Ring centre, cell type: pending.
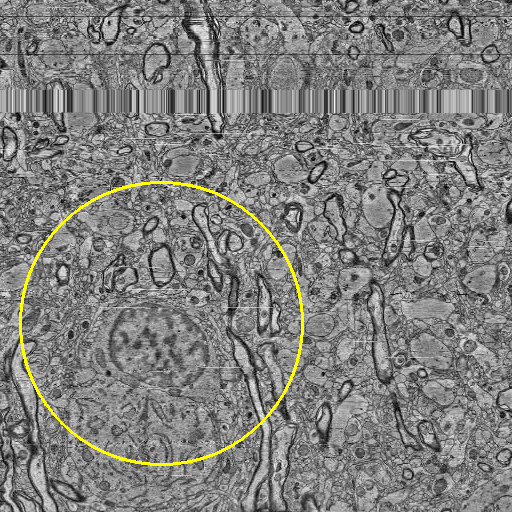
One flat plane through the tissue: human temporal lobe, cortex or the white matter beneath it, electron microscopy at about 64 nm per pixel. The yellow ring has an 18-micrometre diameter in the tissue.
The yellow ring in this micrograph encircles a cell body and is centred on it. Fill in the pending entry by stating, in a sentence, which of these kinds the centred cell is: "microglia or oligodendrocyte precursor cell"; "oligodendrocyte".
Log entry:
The centred cell is recorded as an oligodendrocyte.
